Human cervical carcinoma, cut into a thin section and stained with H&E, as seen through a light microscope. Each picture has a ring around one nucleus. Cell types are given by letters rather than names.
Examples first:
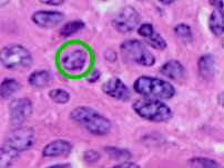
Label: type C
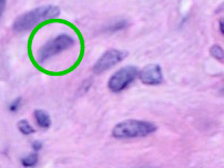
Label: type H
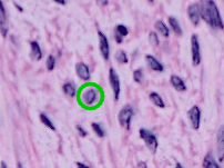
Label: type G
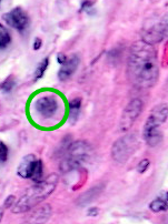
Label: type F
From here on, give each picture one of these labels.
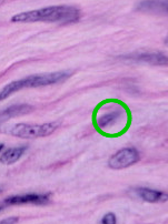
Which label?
type G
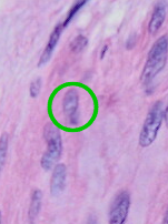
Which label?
type G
